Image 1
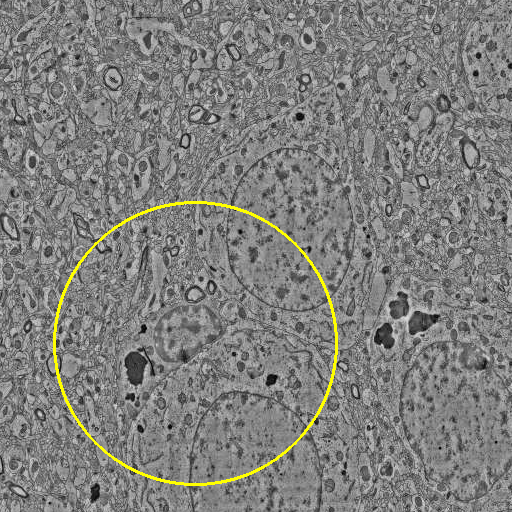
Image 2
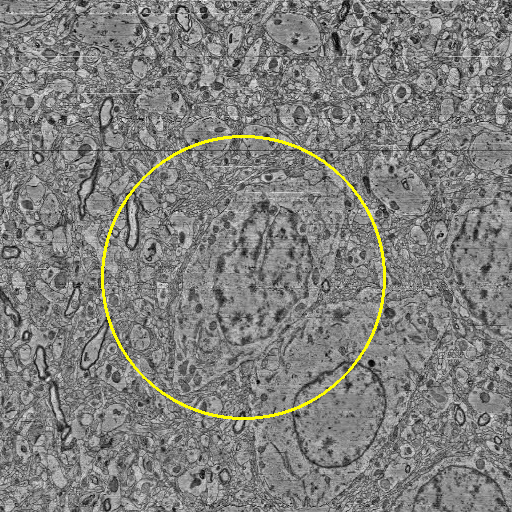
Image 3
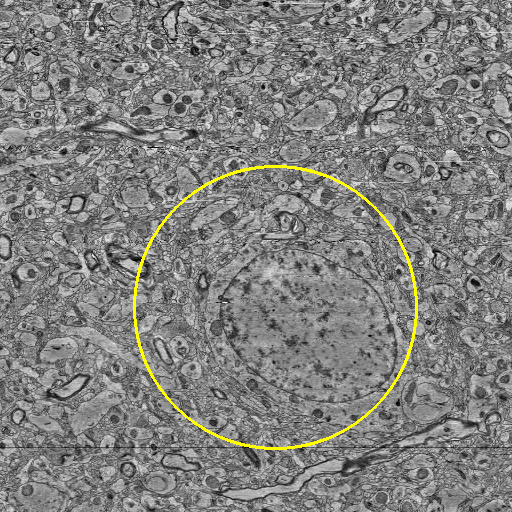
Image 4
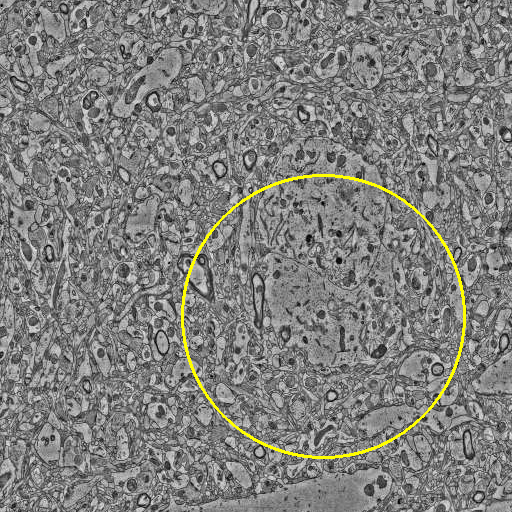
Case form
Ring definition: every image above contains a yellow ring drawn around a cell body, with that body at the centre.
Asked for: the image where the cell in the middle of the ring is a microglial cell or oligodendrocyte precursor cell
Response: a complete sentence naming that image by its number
Image 4 is the one.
